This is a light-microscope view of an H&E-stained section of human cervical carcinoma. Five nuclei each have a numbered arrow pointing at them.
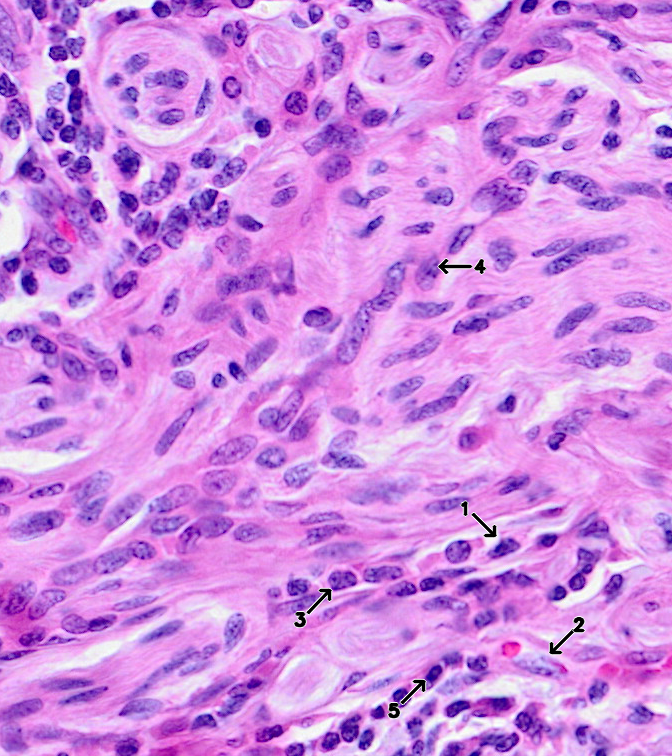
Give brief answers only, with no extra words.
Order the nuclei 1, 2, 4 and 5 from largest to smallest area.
2, 4, 1, 5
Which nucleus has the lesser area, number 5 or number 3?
5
